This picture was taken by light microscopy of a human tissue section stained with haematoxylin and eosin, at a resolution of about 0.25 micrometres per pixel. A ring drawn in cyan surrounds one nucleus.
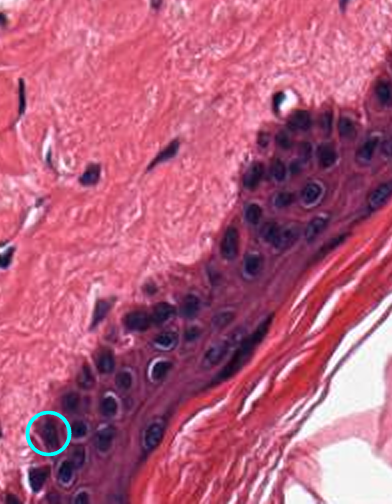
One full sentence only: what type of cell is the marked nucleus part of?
The mark falls on a nucleus belonging to a keratinocyte.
